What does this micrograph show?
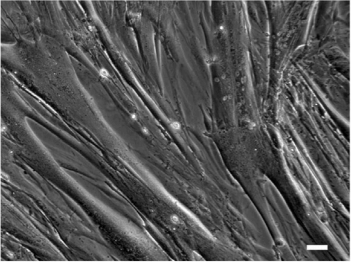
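Myotubes in culture appear as very long, broad, tube-shaped cells lying roughly parallel and crossing the field diagonally, with smooth bright outlines. They are much larger than the smaller spindle-shaped cells filling the spaces between them. Some myotubes taper at their ends while others extend beyond the field. A few small rounded, refractile bodies sit on top of the layer, and granular material is visible in places over the cells.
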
